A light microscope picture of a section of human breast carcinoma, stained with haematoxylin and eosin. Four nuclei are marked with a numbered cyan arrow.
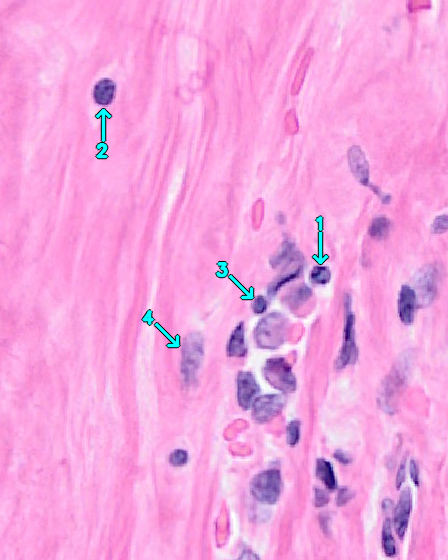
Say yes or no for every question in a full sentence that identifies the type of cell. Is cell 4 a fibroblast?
Yes, a fibroblast is what the cell numbered 4 is.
